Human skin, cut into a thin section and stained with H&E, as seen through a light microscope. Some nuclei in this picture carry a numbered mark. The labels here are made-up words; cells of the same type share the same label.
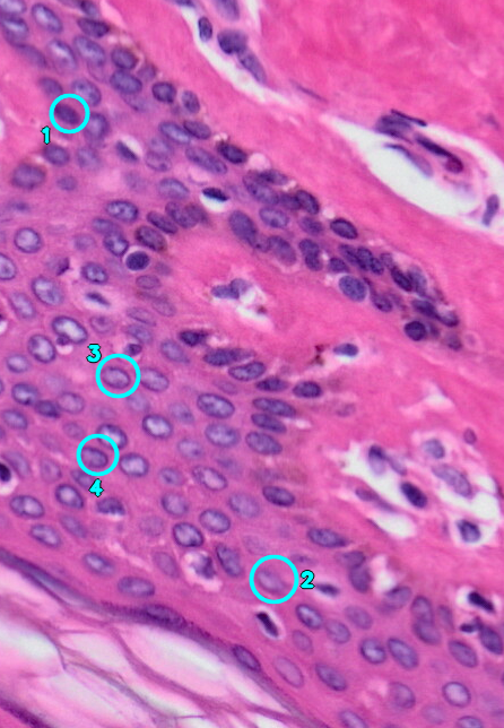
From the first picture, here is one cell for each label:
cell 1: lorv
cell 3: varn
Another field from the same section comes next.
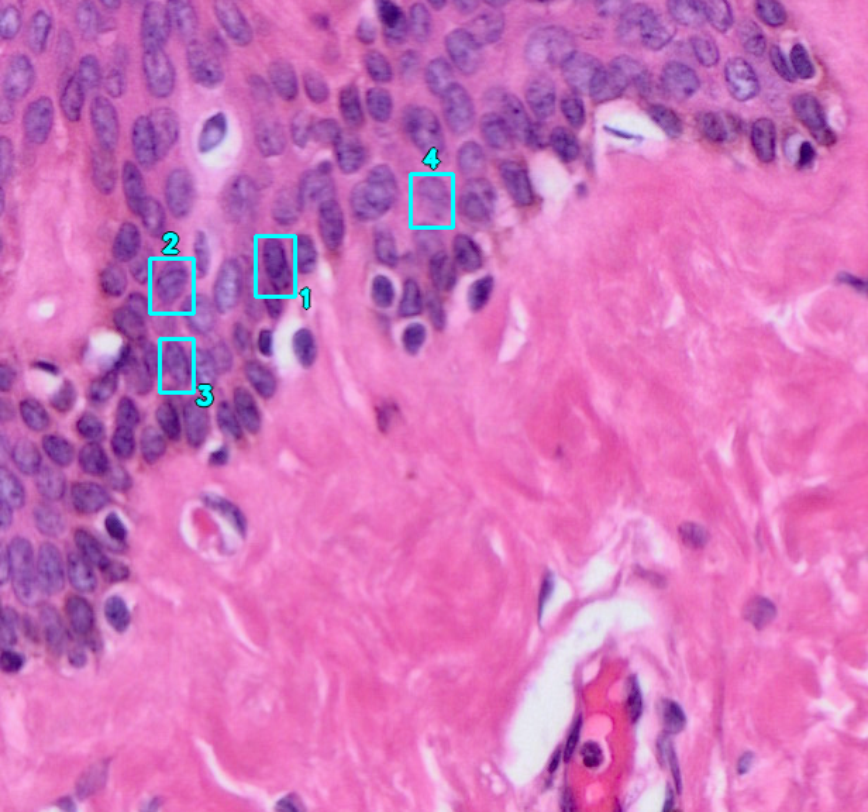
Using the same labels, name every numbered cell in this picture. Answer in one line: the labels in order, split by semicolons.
lorv; lorv; lorv; varn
